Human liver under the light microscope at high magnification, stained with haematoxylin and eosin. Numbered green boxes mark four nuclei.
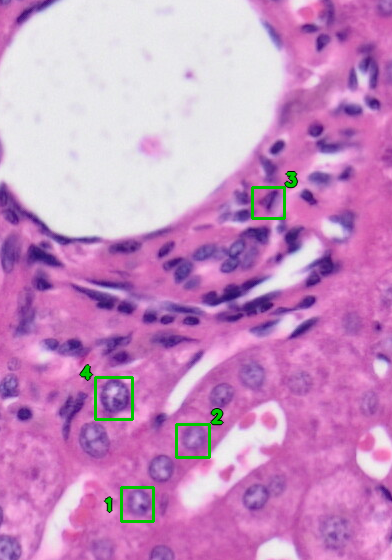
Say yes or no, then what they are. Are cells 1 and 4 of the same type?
Yes, with respect to identity, cells 1 and 4 are both hepatocytes.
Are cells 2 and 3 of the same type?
No; whereas cell 2 is a hepatocyte, cell 3 is a fibroblast or stellate cell.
